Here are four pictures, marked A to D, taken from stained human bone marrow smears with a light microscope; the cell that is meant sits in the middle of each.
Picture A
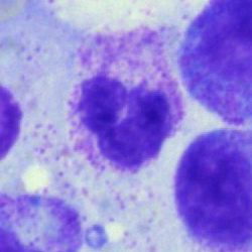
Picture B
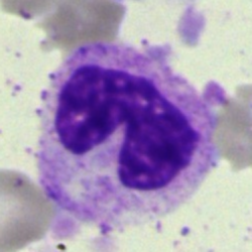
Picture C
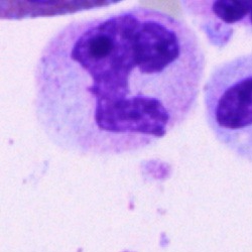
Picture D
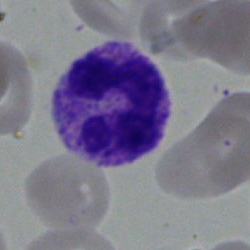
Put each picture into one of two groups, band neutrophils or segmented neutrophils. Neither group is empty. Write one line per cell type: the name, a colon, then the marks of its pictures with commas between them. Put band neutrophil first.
band neutrophil: B
segmented neutrophil: A, C, D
